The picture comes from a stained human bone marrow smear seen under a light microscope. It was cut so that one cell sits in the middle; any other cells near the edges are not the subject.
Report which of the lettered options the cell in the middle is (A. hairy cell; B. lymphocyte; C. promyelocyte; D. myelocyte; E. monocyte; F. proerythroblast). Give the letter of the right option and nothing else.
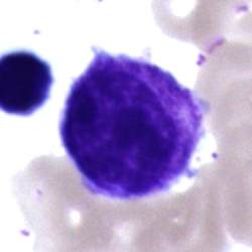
D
